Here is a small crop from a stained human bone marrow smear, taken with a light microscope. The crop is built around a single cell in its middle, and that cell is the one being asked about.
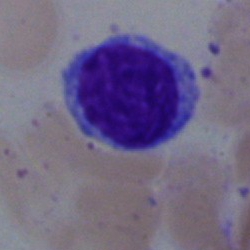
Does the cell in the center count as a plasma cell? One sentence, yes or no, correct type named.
No, that would be a lymphocyte, not a plasma cell, for the cell at the centre.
